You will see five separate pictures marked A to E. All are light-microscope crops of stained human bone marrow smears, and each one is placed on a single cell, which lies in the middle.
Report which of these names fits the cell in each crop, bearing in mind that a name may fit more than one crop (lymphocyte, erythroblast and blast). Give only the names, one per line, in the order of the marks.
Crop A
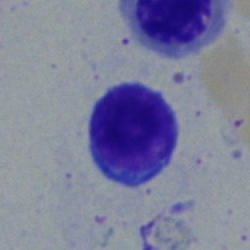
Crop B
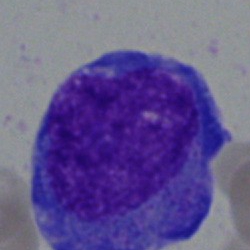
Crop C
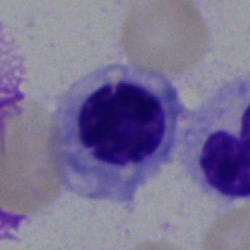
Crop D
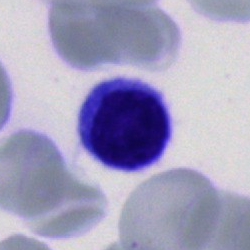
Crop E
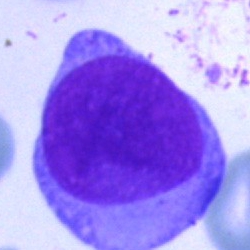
lymphocyte
blast
erythroblast
lymphocyte
blast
